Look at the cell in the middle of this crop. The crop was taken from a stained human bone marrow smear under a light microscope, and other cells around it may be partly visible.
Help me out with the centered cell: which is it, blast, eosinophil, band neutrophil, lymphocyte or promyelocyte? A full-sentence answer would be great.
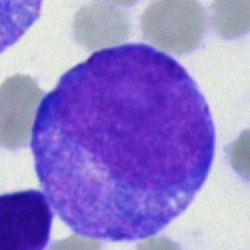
The middle position in this crop is taken by a promyelocyte.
